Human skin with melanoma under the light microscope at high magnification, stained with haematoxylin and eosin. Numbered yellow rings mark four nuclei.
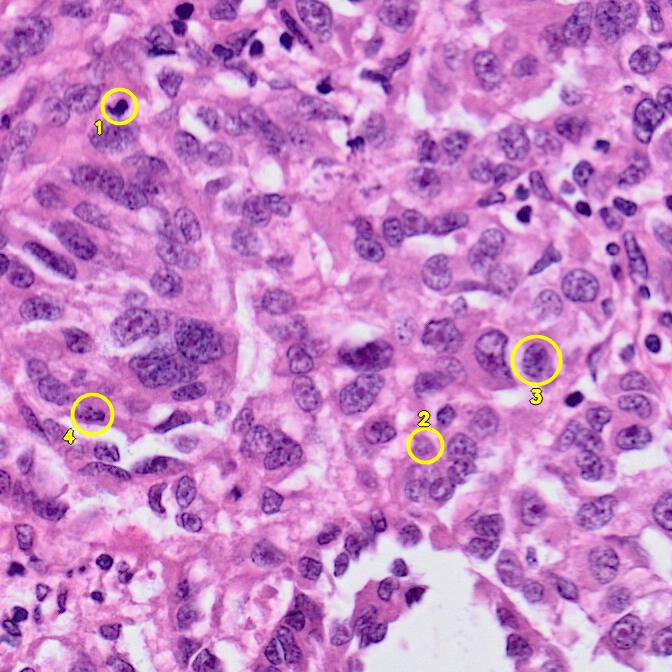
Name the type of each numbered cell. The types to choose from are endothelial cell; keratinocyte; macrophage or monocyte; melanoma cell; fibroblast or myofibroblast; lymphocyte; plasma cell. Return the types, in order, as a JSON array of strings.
["lymphocyte", "melanoma cell", "melanoma cell", "melanoma cell"]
